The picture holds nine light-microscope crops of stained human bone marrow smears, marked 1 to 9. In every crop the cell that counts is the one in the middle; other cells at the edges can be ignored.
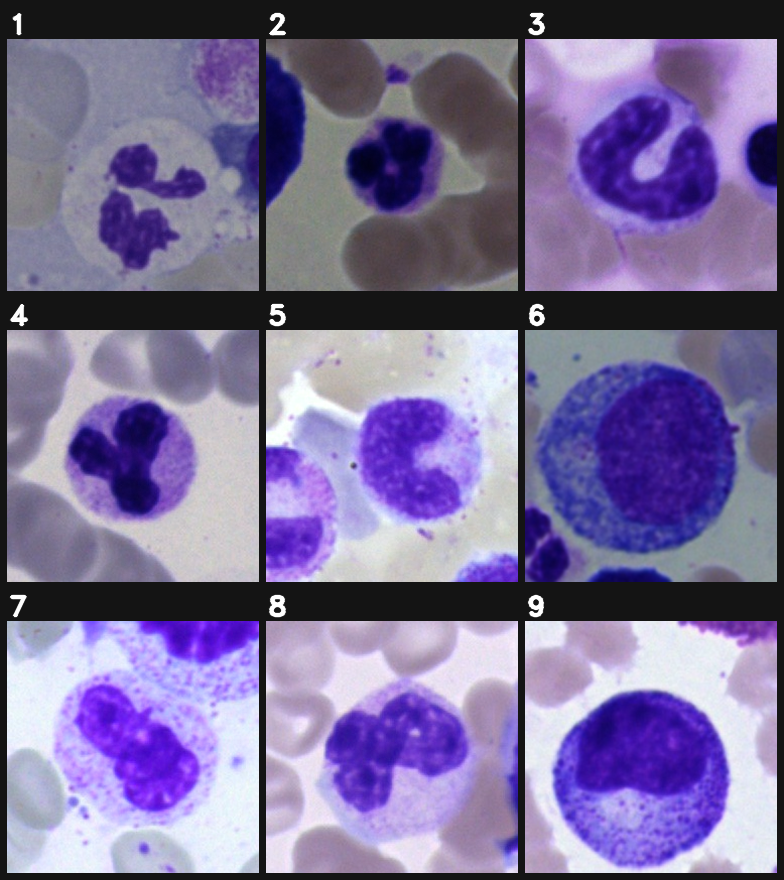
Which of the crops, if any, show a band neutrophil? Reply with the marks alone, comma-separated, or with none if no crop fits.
3, 5, 7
